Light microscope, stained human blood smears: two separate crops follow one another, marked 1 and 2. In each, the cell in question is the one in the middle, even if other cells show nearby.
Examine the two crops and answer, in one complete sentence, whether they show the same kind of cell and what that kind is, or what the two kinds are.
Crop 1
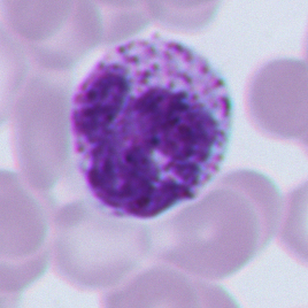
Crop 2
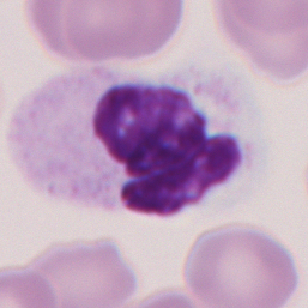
No, a basophil lies at the centre of crop 1, and a segmented neutrophil lies at the centre of crop 2.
